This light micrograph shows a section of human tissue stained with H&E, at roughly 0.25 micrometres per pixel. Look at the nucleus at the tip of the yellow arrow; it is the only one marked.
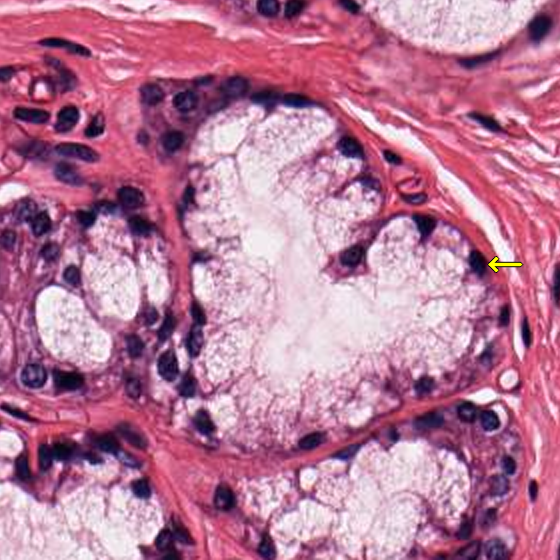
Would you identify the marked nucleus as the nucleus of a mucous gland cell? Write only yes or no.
yes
